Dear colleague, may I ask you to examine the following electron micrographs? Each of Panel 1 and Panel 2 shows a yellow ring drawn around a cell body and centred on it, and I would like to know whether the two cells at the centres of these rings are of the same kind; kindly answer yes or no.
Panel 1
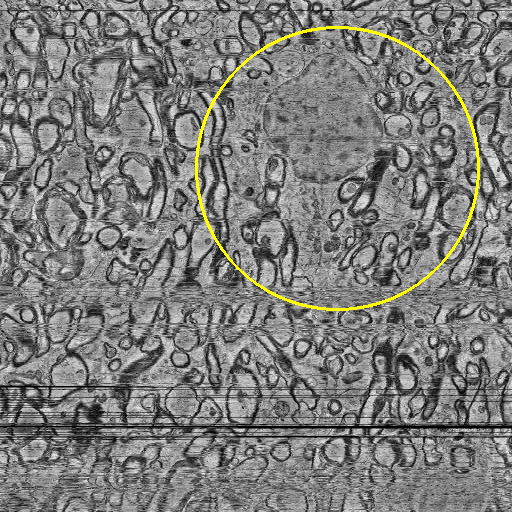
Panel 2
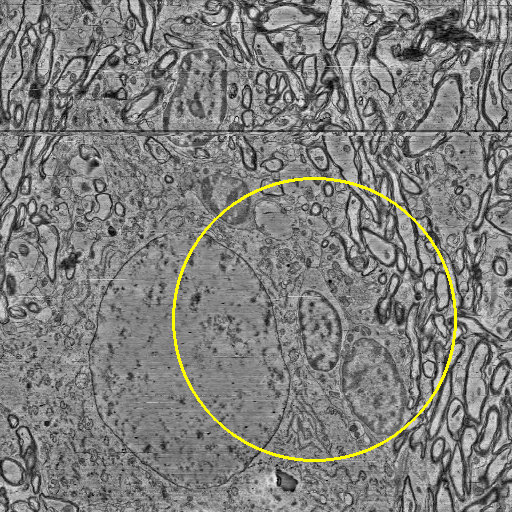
yes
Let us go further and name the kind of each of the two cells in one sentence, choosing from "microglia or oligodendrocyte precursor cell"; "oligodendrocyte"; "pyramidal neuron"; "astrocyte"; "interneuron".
Both cells are the same kind, each one being a microglial cell or oligodendrocyte precursor cell.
